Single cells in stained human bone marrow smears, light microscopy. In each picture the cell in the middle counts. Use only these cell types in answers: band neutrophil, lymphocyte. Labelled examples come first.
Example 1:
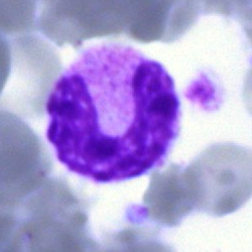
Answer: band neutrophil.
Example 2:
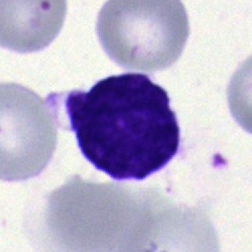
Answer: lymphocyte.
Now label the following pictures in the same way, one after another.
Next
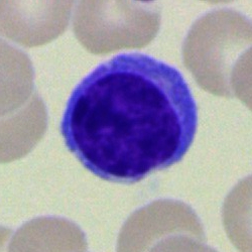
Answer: lymphocyte.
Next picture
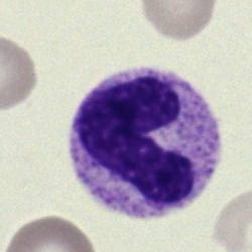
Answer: band neutrophil.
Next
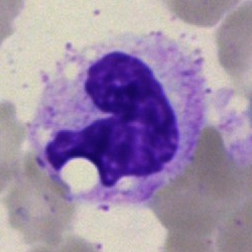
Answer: band neutrophil.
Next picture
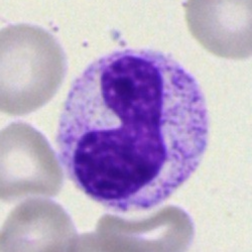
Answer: band neutrophil.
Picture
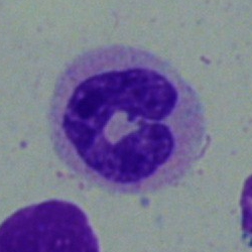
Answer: band neutrophil.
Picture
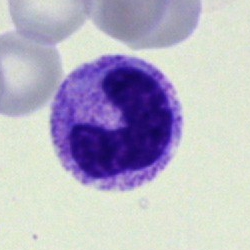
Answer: band neutrophil.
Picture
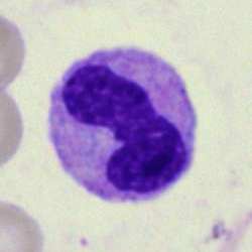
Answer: band neutrophil.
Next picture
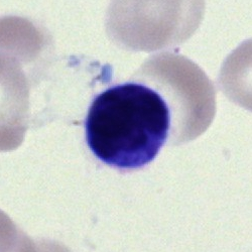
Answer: lymphocyte.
